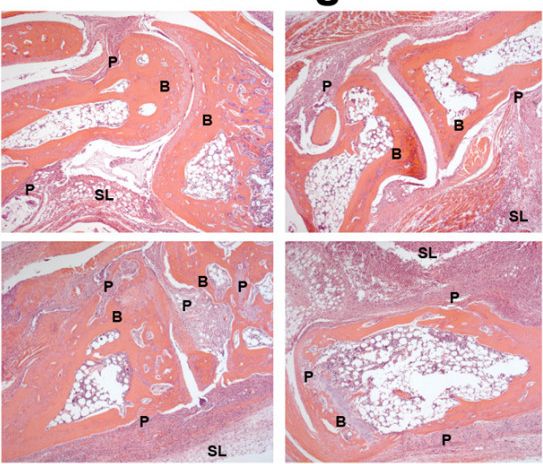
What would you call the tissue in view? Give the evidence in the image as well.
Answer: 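Pink bone ends with marrow spaces face each other. Cellular soft tissue lies around and between the bone ends. The answer: joint.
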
